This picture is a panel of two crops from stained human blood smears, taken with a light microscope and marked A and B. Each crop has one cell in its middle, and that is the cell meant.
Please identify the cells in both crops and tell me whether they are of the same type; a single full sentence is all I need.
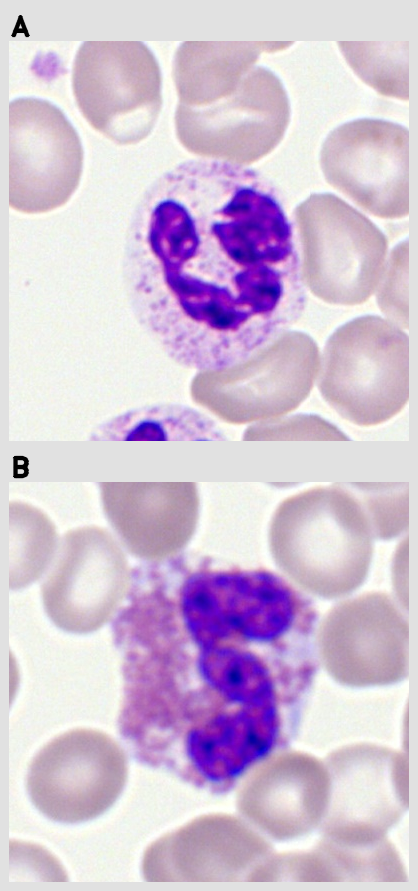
No, crop A presents a neutrophil, whereas crop B presents an eosinophil.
